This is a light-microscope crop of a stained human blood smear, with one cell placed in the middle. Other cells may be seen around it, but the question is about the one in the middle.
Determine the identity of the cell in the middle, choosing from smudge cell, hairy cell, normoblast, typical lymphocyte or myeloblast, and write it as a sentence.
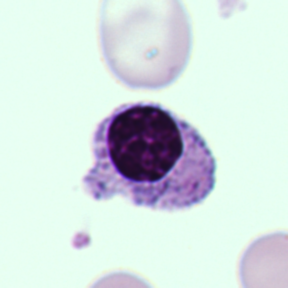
Standing at the centre of this crop is a normoblast.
